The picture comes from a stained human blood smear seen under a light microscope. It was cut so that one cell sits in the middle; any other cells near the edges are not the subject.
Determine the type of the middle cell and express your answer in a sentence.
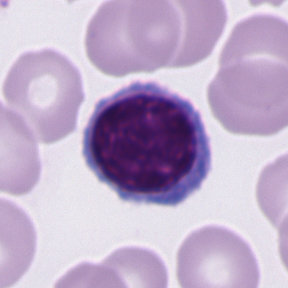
The cell positioned in the middle of the field is a lymphocyte.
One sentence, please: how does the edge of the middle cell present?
The cytoplasmic margin is uneven, whether through ragged segments or through projections.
